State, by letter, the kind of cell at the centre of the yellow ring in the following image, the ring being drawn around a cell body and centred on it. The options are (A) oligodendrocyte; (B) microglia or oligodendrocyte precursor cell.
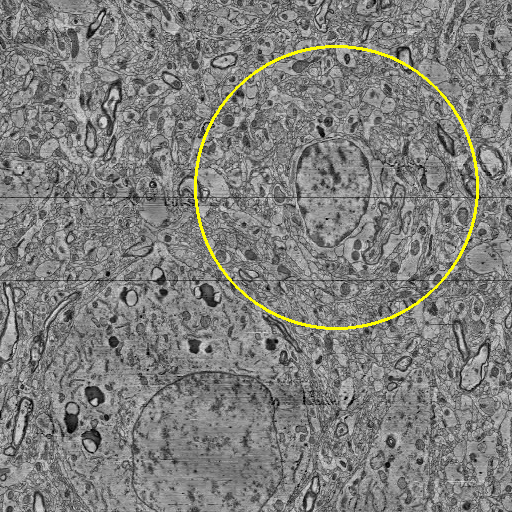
B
